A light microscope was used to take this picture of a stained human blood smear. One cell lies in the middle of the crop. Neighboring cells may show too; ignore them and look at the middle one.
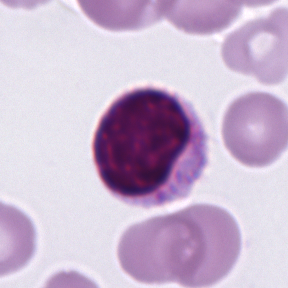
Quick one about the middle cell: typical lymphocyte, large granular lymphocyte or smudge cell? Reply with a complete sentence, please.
In the center of this field lies a large granular lymphocyte.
